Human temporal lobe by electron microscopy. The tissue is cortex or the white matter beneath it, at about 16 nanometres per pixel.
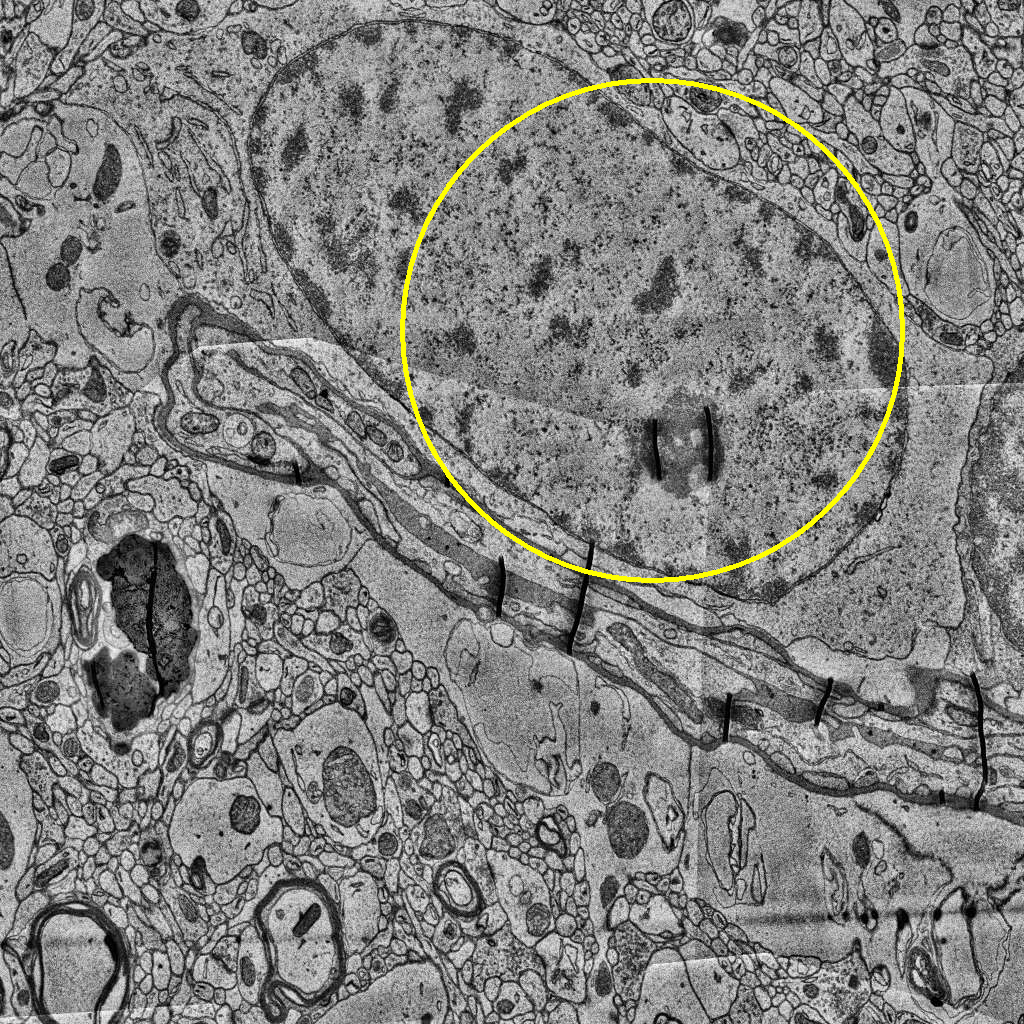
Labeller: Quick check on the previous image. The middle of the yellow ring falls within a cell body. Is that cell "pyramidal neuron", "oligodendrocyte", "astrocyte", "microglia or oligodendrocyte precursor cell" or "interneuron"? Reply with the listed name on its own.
microglia or oligodendrocyte precursor cell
